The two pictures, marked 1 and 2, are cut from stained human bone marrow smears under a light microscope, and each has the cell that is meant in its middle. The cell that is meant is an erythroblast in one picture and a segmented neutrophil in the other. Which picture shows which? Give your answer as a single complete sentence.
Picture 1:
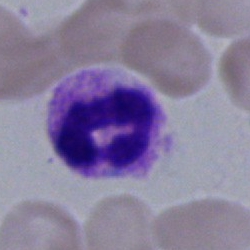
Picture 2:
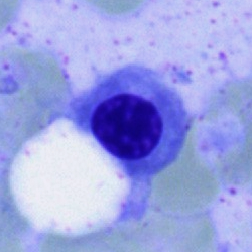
The cell in picture 1 is a segmented neutrophil, and the one in picture 2 is an erythroblast.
